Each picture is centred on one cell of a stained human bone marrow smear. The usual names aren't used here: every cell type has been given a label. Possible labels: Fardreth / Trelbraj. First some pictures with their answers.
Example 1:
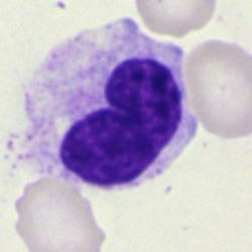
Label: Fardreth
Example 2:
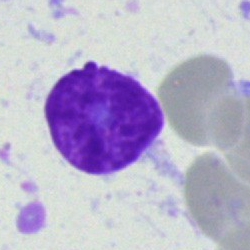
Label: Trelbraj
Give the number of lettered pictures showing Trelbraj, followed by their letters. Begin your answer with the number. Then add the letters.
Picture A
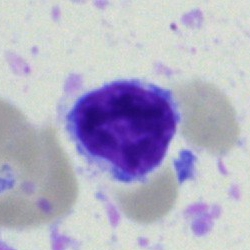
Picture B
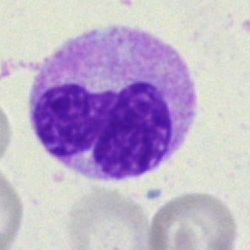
1: A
